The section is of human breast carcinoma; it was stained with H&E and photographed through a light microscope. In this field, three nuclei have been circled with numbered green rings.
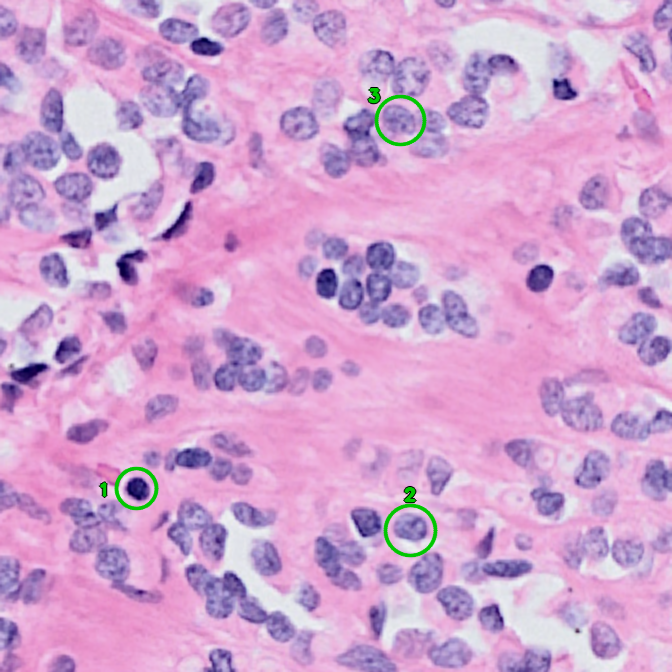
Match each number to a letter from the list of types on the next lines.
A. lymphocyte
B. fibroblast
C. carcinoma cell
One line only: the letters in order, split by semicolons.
A; C; C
